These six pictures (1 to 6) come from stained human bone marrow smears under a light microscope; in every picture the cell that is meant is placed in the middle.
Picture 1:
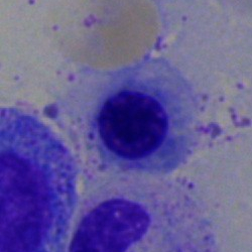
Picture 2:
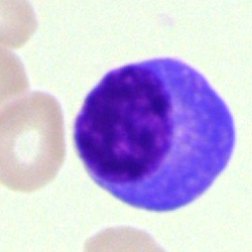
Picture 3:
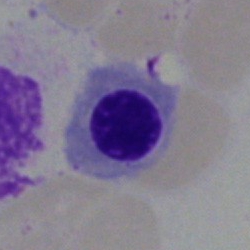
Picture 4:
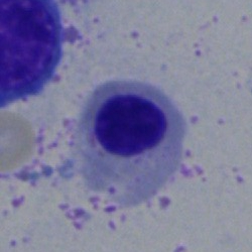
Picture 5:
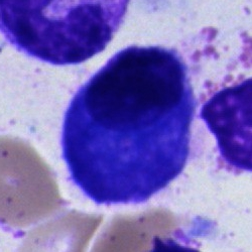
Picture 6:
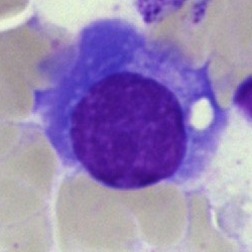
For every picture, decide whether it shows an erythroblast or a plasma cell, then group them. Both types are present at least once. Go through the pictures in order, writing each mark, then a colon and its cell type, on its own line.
1: erythroblast
2: plasma cell
3: erythroblast
4: erythroblast
5: plasma cell
6: plasma cell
